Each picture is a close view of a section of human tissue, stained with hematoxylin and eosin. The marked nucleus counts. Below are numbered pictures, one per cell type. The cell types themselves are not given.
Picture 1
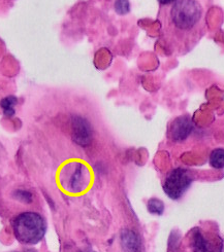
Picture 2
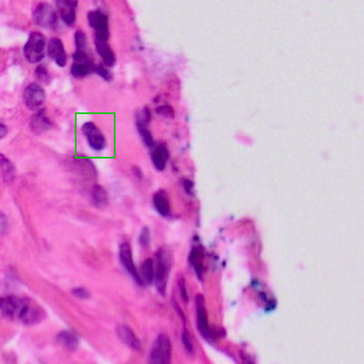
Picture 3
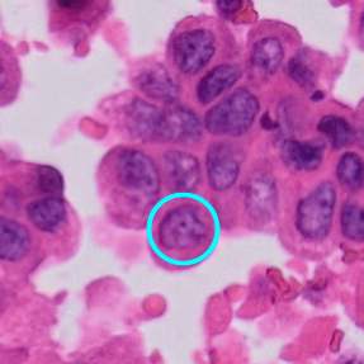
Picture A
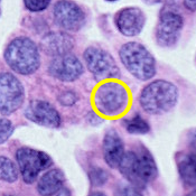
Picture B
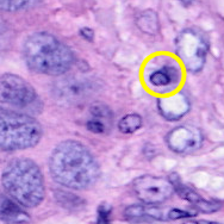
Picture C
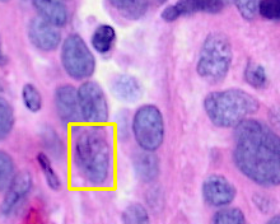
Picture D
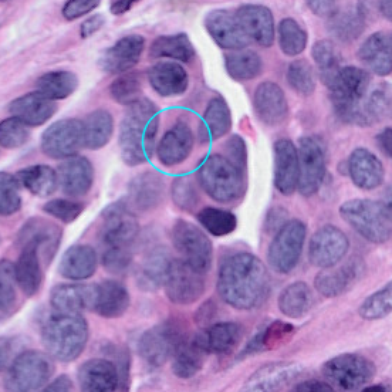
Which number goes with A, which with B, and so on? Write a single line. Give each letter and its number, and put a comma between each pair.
A 3, B 2, C 3, D 3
